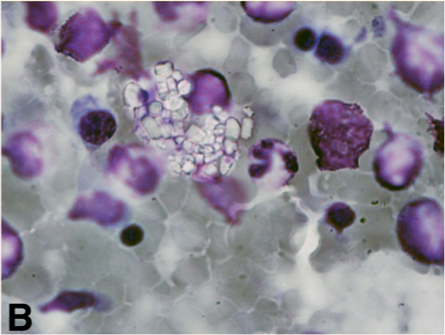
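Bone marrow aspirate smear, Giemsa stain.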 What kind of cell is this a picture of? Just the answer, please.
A: Histiocyte.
